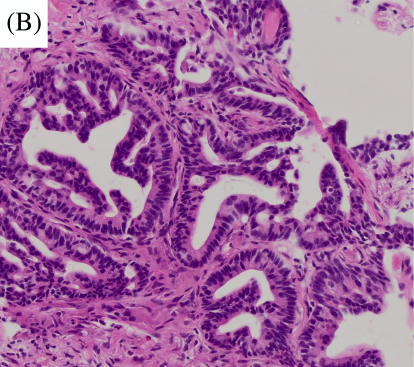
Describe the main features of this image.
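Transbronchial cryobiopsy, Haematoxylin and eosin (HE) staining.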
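Lung adenocarcinoma: closely packed, irregular and branching glands with angulated lumens. The glands are lined by tall columnar cells whose elongated, hyperchromatic nuclei are crowded and stacked at several levels, so that the lining looks pseudostratified. Cytoplasm is pink to purple and scanty relative to the nuclei. Narrow bands of pink fibrous stroma with spindle-shaped nuclei separate the glands. Normal alveolar architecture is not seen in this field; the glands replace it.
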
